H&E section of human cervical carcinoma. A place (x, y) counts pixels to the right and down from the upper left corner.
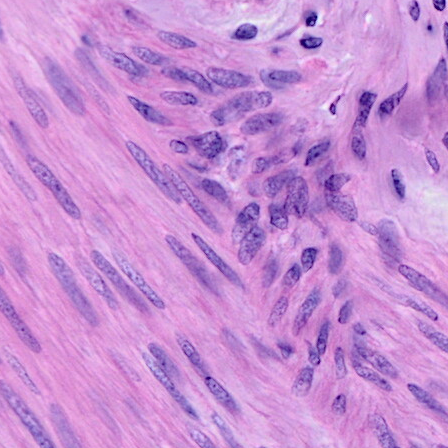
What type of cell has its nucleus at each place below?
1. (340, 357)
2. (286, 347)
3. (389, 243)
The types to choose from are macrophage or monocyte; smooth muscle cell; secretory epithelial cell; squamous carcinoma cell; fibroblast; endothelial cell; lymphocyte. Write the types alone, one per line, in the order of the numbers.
smooth muscle cell
smooth muscle cell
fibroblast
